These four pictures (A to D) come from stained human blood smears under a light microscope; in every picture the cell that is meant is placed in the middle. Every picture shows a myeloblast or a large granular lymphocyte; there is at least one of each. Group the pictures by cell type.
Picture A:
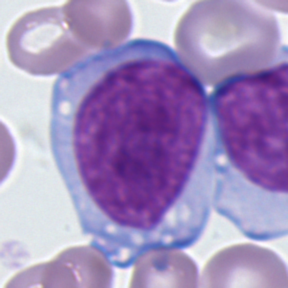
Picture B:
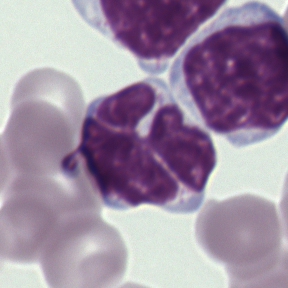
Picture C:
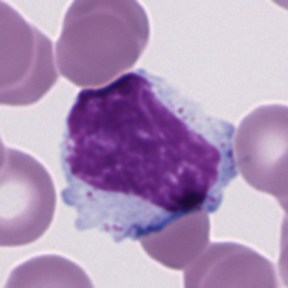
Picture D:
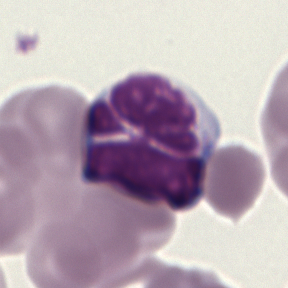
A: myeloblast
B: large granular lymphocyte
C: large granular lymphocyte
D: large granular lymphocyte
